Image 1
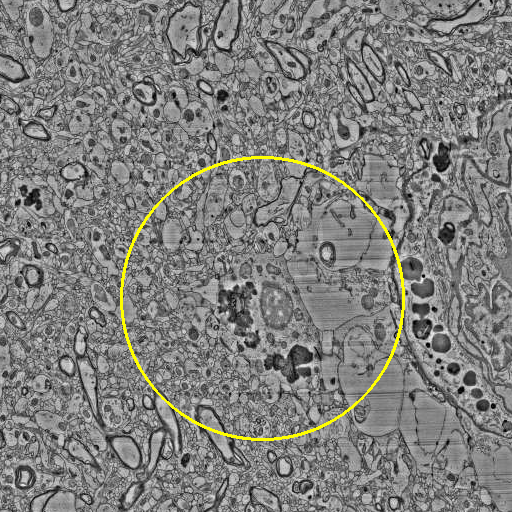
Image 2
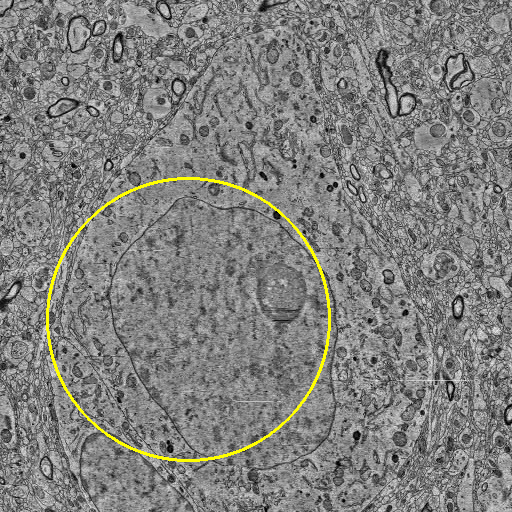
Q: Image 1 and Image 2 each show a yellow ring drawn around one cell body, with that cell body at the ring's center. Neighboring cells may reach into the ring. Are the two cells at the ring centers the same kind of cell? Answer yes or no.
no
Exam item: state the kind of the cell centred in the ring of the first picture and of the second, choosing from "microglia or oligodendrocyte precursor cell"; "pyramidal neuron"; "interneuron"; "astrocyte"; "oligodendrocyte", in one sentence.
The first picture shows an oligodendrocyte at the ring centre and the second shows a pyramidal neuron.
